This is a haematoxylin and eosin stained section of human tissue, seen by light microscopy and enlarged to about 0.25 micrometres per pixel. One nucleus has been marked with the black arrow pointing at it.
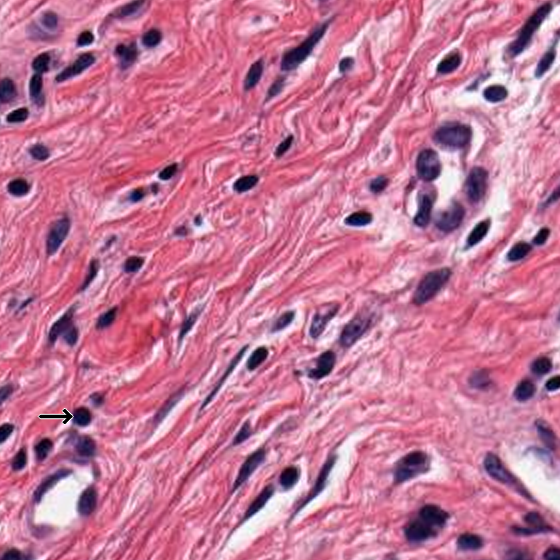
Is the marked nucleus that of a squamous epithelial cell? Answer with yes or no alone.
no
